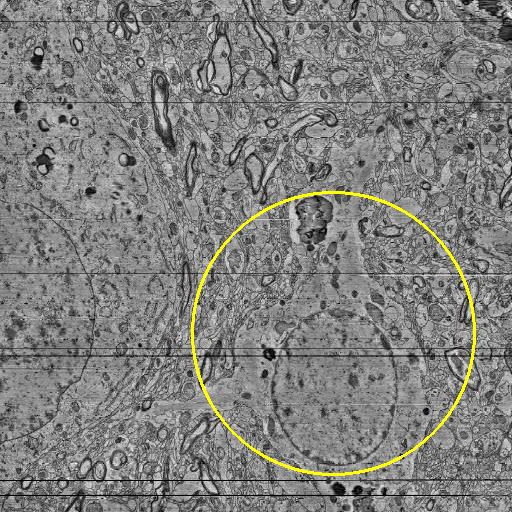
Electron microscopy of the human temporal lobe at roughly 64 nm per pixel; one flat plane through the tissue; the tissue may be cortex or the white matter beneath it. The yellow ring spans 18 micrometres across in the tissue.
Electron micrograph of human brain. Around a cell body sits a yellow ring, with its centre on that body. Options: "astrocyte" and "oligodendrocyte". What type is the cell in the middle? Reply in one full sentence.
The cell sitting at the centre of the yellow ring is an astrocyte.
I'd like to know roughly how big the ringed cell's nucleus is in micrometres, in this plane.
In this plane the nucleus is about 10 micrometres by 8.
